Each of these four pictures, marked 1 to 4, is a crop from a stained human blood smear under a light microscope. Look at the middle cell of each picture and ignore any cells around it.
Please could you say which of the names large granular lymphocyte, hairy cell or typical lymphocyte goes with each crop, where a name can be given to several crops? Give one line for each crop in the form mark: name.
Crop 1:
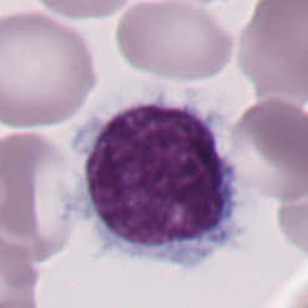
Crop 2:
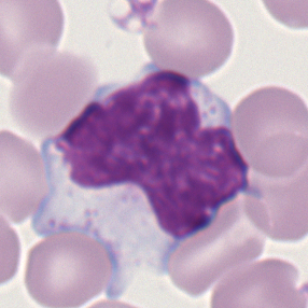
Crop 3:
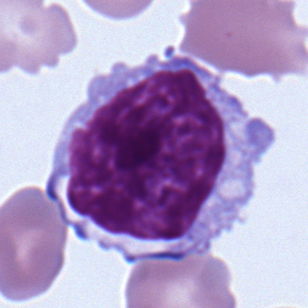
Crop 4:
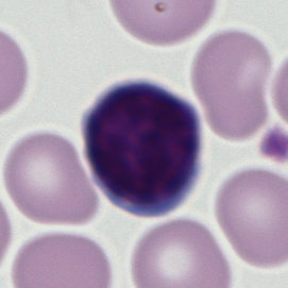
1: hairy cell
2: large granular lymphocyte
3: typical lymphocyte
4: typical lymphocyte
